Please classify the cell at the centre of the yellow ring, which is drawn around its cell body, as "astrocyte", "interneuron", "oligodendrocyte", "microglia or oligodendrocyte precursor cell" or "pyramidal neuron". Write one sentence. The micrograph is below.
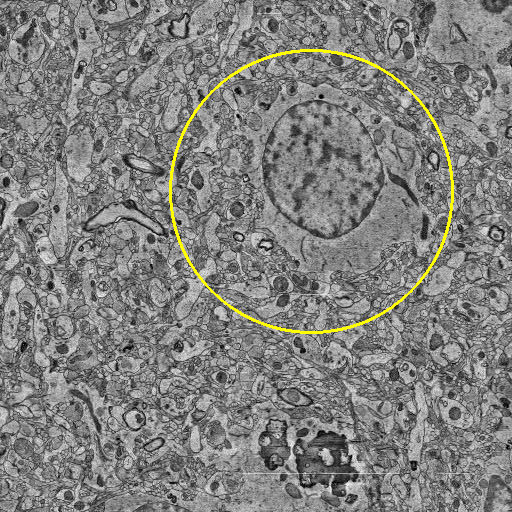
The cell at the ring's centre is classified as an astrocyte.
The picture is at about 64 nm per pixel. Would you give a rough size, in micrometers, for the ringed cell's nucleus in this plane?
In this plane the nucleus measures roughly 9 by 8 micrometers.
